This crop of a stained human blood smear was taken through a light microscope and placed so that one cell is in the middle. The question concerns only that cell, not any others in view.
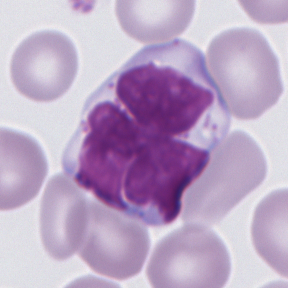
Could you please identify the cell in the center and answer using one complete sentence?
This crop is built around a large granular lymphocyte at its centre.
